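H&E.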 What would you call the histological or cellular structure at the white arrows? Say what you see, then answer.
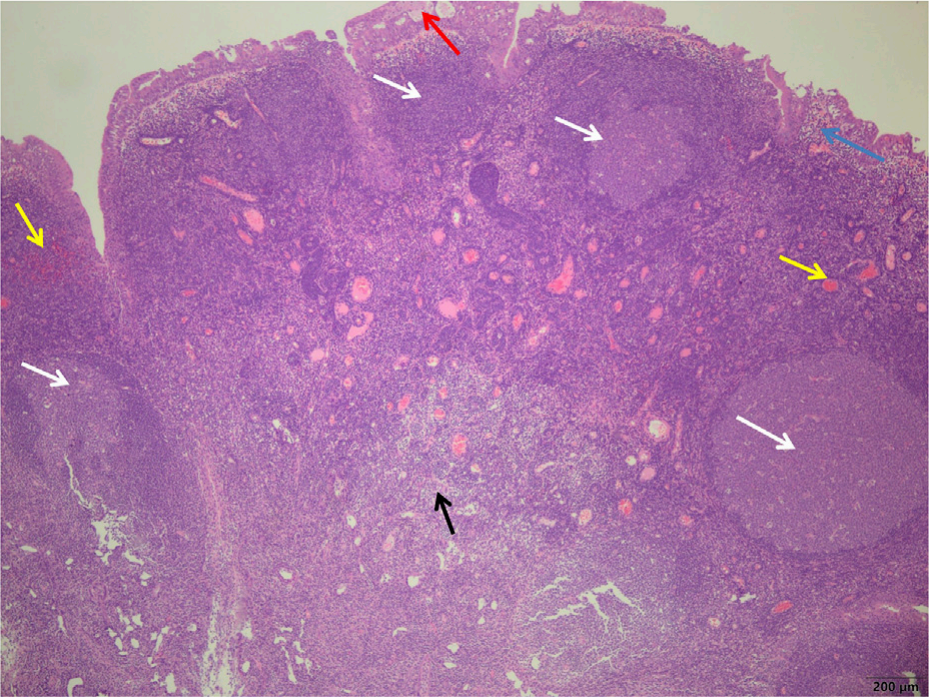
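Rounded paler pink-purple zones lie within the dense purple lymphoid tissue. So: germinal centers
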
